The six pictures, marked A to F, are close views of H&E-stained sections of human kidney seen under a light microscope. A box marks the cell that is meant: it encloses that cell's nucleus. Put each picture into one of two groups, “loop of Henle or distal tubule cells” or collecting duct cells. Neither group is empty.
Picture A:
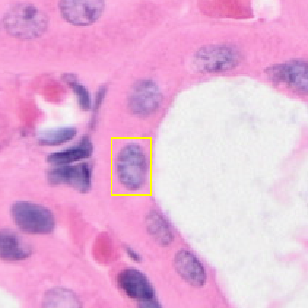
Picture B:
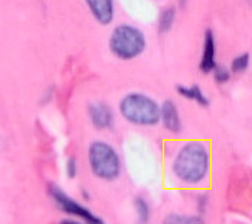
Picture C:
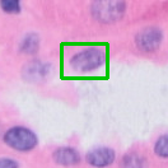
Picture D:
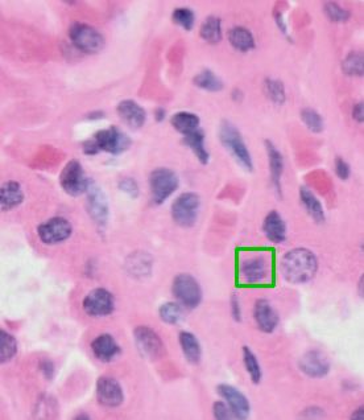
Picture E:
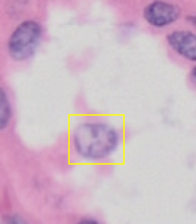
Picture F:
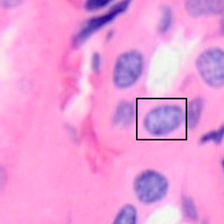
A: loop of Henle or distal tubule cell
B: collecting duct cell
C: loop of Henle or distal tubule cell
D: loop of Henle or distal tubule cell
E: loop of Henle or distal tubule cell
F: collecting duct cell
